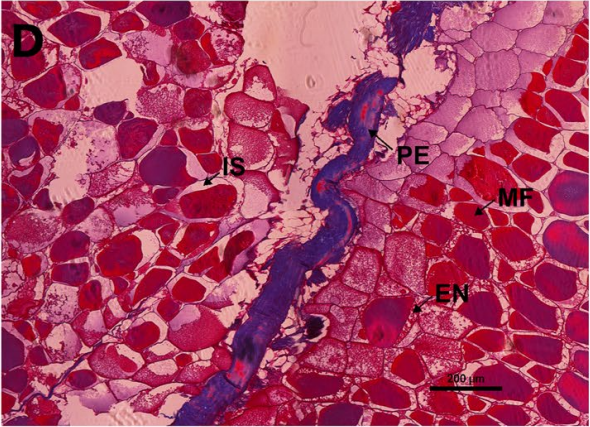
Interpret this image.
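Skeletal muscle in cross section shows polygonal muscle fibers, many of which look pale and granular or vacuolated rather than solid red. A thick, dark blue-purple band of perimysium winds through the middle of the field, next to wide clear interstitial spaces. The endomysium around fibers is visible as pale rims, and many fibers appear separated from their neighbours. The tissue looks loosened compared with tightly packed muscle.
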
